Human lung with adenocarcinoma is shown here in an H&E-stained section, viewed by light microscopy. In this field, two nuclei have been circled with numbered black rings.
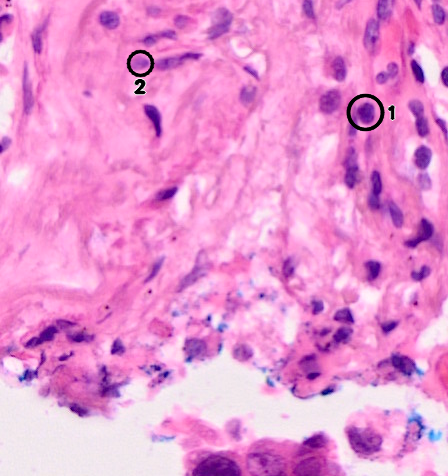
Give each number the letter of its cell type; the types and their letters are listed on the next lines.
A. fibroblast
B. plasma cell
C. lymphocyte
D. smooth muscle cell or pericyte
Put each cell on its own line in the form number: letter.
1: C
2: D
